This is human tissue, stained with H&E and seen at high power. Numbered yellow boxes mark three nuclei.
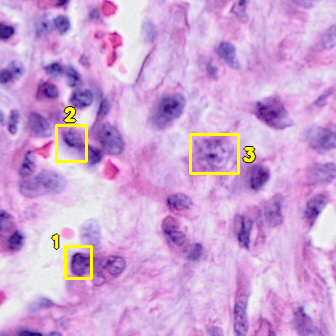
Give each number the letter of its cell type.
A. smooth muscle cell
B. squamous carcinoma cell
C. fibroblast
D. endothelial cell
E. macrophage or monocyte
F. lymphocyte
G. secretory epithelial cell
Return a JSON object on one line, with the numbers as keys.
{"1": "D", "2": "D", "3": "C"}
